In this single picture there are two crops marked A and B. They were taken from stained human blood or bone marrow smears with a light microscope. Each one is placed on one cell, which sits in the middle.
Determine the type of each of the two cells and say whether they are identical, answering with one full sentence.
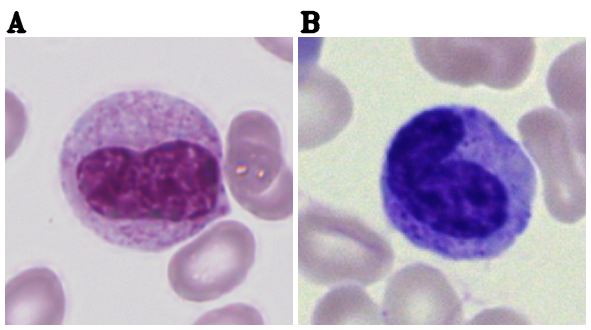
No, as for crop A, it shows a metamyelocyte, and crop B shows a band neutrophil.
